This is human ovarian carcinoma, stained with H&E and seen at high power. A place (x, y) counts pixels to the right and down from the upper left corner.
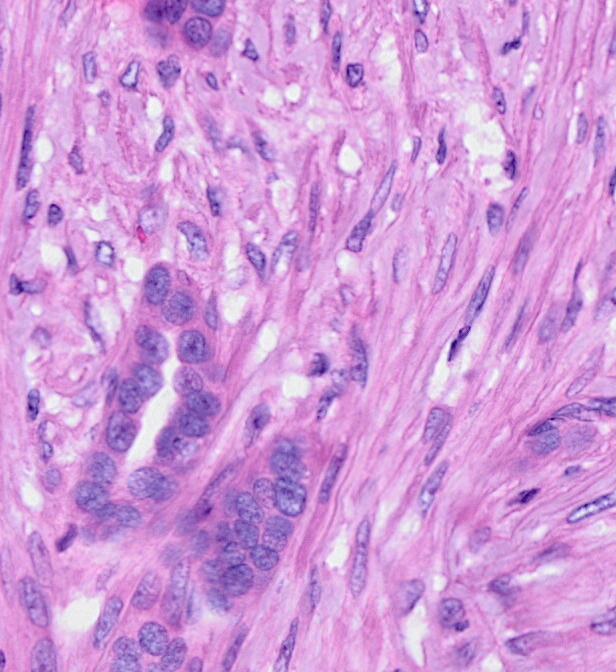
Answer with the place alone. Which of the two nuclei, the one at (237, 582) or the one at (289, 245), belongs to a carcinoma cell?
(237, 582)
